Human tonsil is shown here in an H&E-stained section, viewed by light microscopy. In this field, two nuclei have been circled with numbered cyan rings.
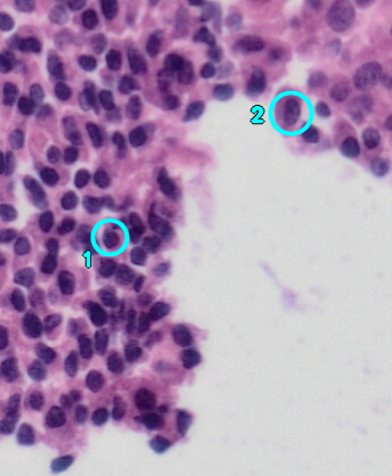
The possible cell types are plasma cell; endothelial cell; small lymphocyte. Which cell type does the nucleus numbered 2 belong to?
plasma cell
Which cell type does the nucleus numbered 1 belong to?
small lymphocyte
